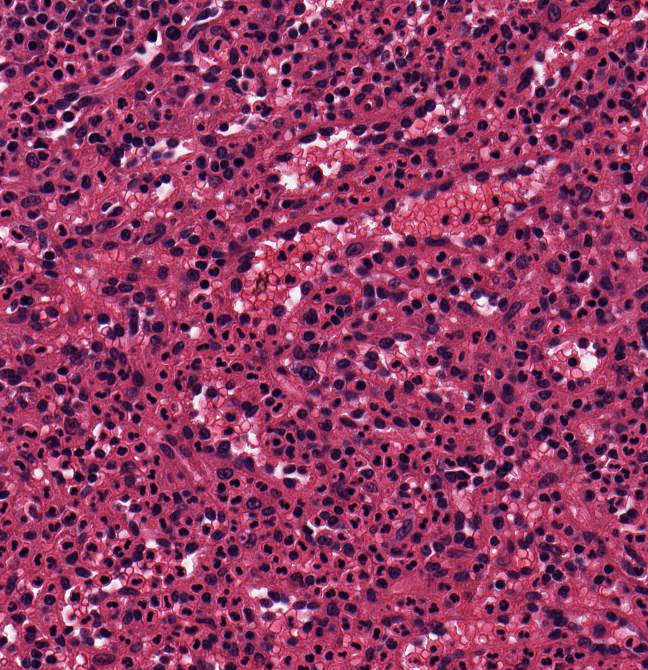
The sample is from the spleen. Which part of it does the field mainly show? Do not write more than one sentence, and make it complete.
This image of human tissue depicts the part termed red pulp.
